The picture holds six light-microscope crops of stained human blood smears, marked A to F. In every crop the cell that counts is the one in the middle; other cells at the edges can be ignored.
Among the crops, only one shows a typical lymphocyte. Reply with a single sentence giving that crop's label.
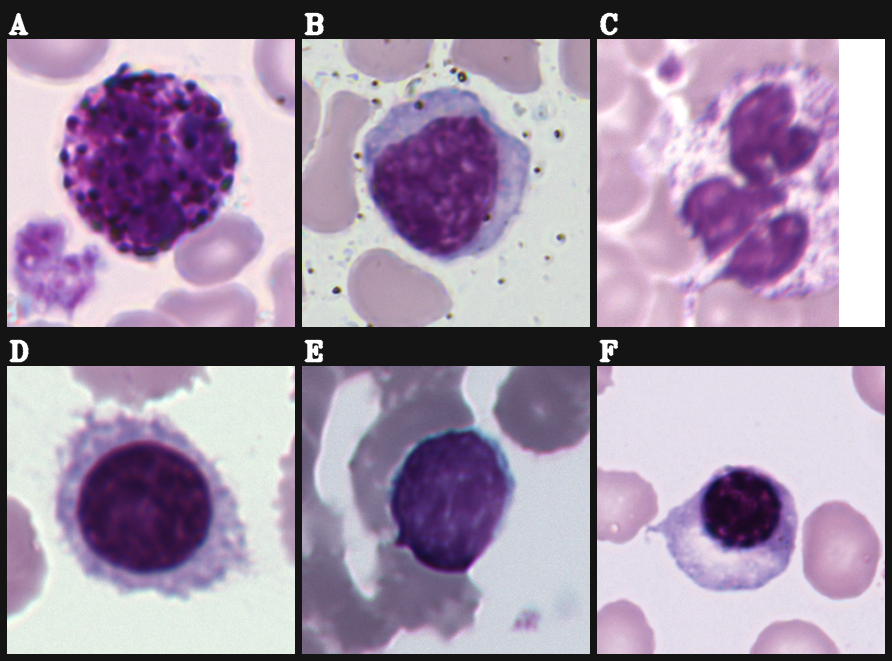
It is the cell in crop E that is a typical lymphocyte.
